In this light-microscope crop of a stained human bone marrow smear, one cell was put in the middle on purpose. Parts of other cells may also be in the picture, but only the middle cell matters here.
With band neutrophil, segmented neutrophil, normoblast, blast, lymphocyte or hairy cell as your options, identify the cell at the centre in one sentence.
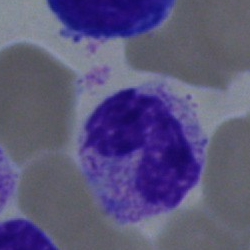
The center cell of this crop is a band neutrophil.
